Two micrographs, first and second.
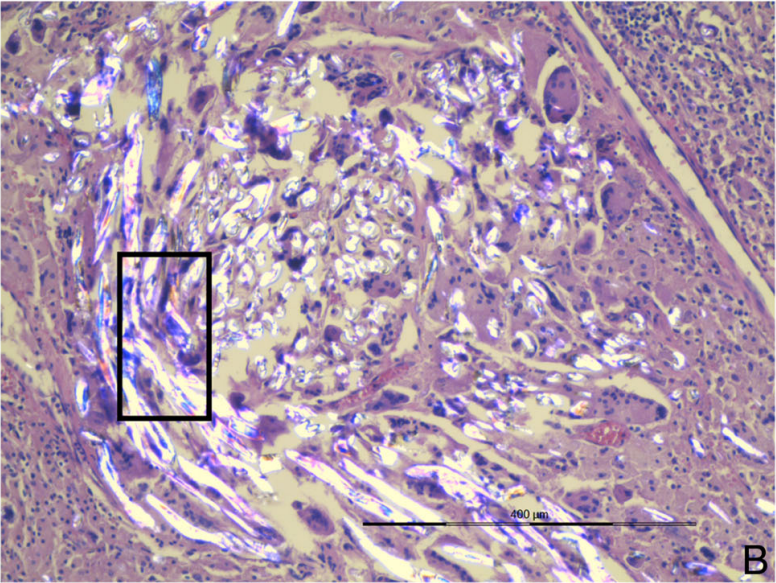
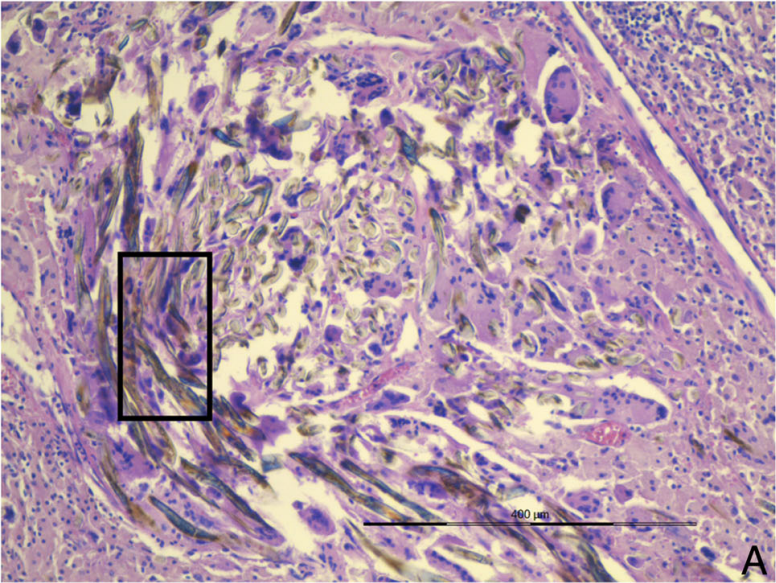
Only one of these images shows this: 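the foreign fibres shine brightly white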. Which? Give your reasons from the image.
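The first image. Second image: the fibres appear as dull brownish to bluish-grey threads. First image: the same fibres glow bright white with blue and pink tints.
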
